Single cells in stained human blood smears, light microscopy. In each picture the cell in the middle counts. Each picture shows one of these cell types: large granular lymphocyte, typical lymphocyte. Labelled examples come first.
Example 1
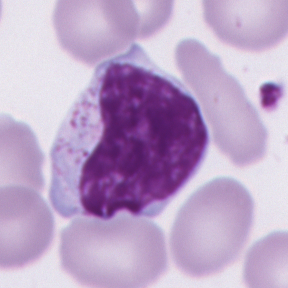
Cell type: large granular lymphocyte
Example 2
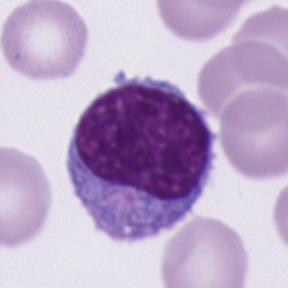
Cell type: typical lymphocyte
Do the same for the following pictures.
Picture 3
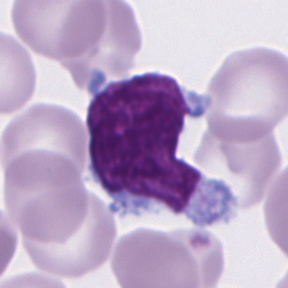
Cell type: typical lymphocyte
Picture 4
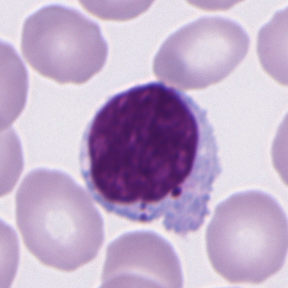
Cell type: typical lymphocyte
